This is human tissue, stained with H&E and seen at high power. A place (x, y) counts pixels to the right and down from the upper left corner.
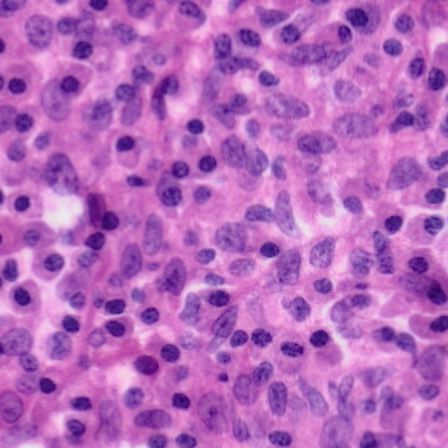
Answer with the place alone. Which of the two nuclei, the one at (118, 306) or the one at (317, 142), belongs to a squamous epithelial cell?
(317, 142)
